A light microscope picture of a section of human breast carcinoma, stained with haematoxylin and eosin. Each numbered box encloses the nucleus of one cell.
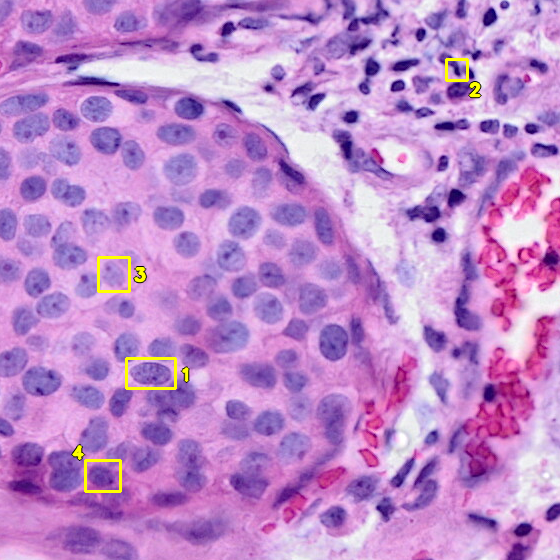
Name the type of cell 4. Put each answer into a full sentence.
Identified by the number 4, the cell is a carcinoma cell.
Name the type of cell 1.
It is as a carcinoma cell that the cell numbered 1 is identified.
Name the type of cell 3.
Cell 3, among those numbered, is a carcinoma cell.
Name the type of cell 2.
In this section, the cell numbered 2 is a lymphocyte.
